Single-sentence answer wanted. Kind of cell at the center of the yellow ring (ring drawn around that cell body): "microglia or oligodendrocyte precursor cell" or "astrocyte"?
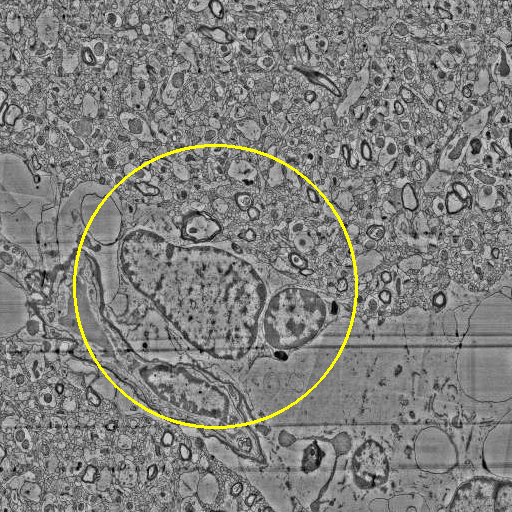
The cell centered in the ring is a microglial cell or oligodendrocyte precursor cell.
